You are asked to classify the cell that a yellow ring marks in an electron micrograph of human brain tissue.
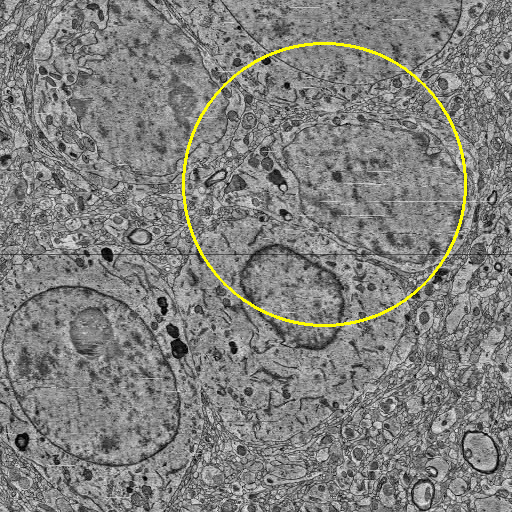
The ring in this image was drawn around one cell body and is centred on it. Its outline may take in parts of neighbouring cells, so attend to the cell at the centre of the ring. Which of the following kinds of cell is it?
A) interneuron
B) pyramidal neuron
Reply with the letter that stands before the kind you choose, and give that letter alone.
A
